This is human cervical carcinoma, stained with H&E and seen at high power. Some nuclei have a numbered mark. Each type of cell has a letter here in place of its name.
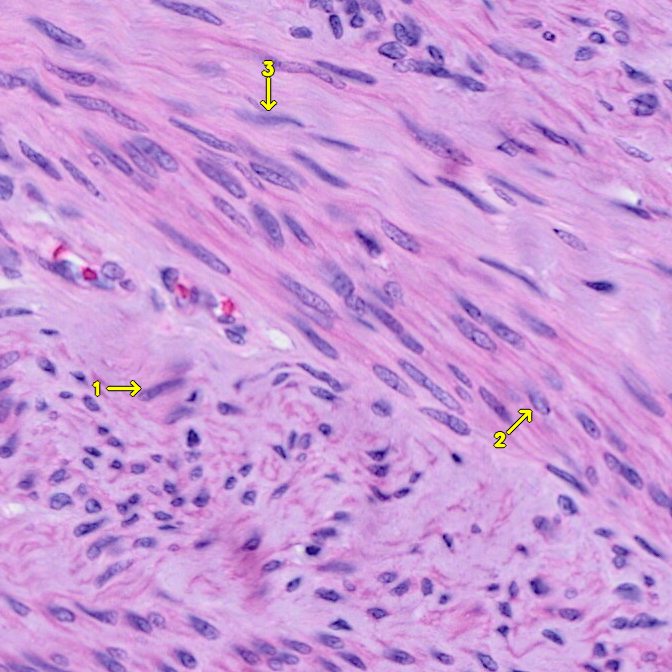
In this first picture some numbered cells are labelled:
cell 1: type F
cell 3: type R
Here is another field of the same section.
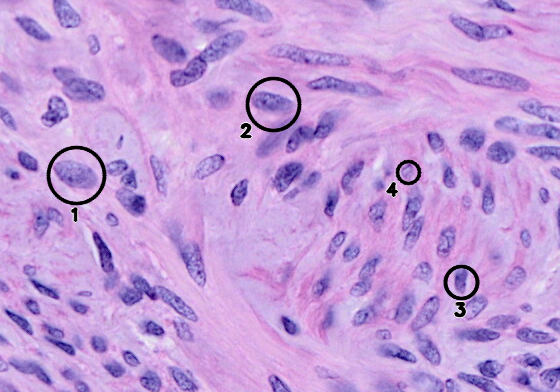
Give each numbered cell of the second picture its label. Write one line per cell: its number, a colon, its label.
1: type R
2: type R
3: type F
4: type F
